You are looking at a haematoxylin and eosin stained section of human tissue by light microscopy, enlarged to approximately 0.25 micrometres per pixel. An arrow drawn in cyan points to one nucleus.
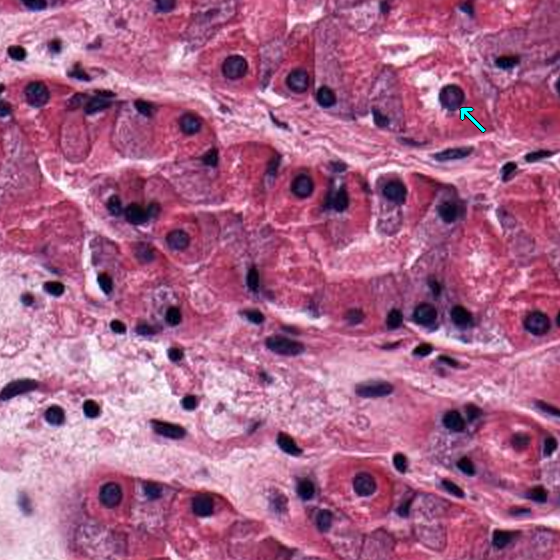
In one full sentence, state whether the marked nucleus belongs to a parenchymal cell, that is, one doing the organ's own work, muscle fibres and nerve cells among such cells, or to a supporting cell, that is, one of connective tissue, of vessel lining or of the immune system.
Here the marked nucleus belongs to a parenchymal cell, that is, a parietal cell.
